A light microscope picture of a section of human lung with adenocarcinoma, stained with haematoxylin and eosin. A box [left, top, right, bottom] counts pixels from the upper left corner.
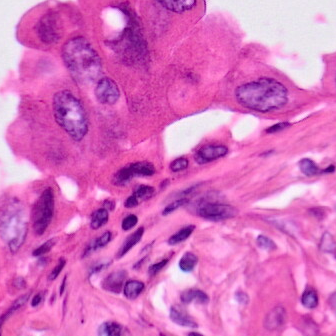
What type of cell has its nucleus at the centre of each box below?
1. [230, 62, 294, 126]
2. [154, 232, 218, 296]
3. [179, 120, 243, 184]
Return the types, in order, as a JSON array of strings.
["carcinoma cell", "lymphocyte", "macrophage or monocyte"]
